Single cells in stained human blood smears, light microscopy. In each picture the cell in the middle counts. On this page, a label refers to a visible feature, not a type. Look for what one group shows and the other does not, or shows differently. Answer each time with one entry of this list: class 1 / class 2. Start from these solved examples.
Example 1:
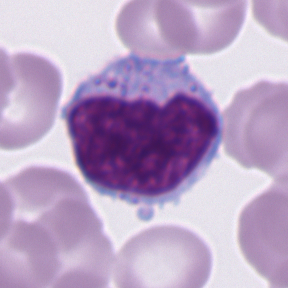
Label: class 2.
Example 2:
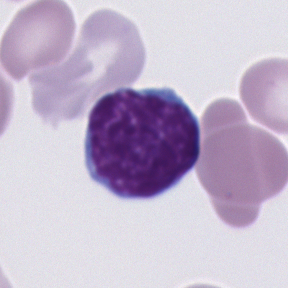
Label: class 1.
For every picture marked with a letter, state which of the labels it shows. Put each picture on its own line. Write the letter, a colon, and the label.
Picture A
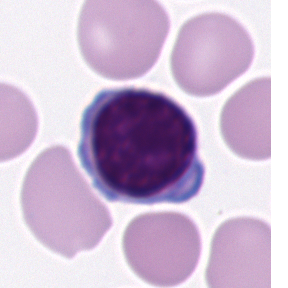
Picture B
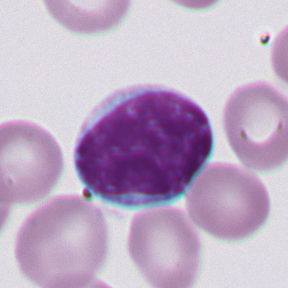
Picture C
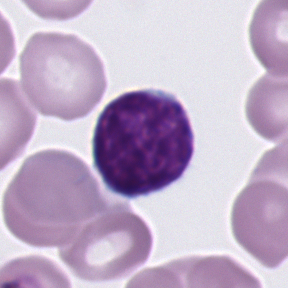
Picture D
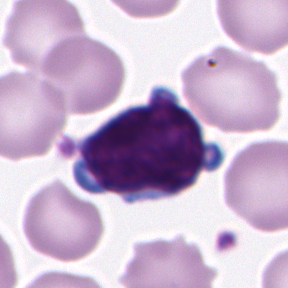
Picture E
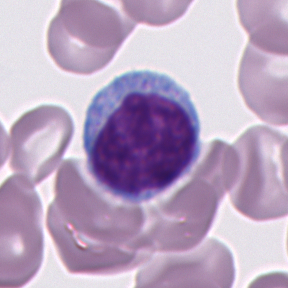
A: class 2.
B: class 1.
C: class 1.
D: class 2.
E: class 1.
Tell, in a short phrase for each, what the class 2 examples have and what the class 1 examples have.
class 2: ragged outline or projections; class 1: smooth outline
